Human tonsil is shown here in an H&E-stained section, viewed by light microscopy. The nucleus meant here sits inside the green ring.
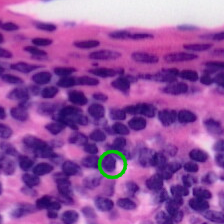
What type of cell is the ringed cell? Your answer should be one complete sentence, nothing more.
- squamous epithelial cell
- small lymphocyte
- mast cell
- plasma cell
It is as a small lymphocyte that the ringed cell is classified.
